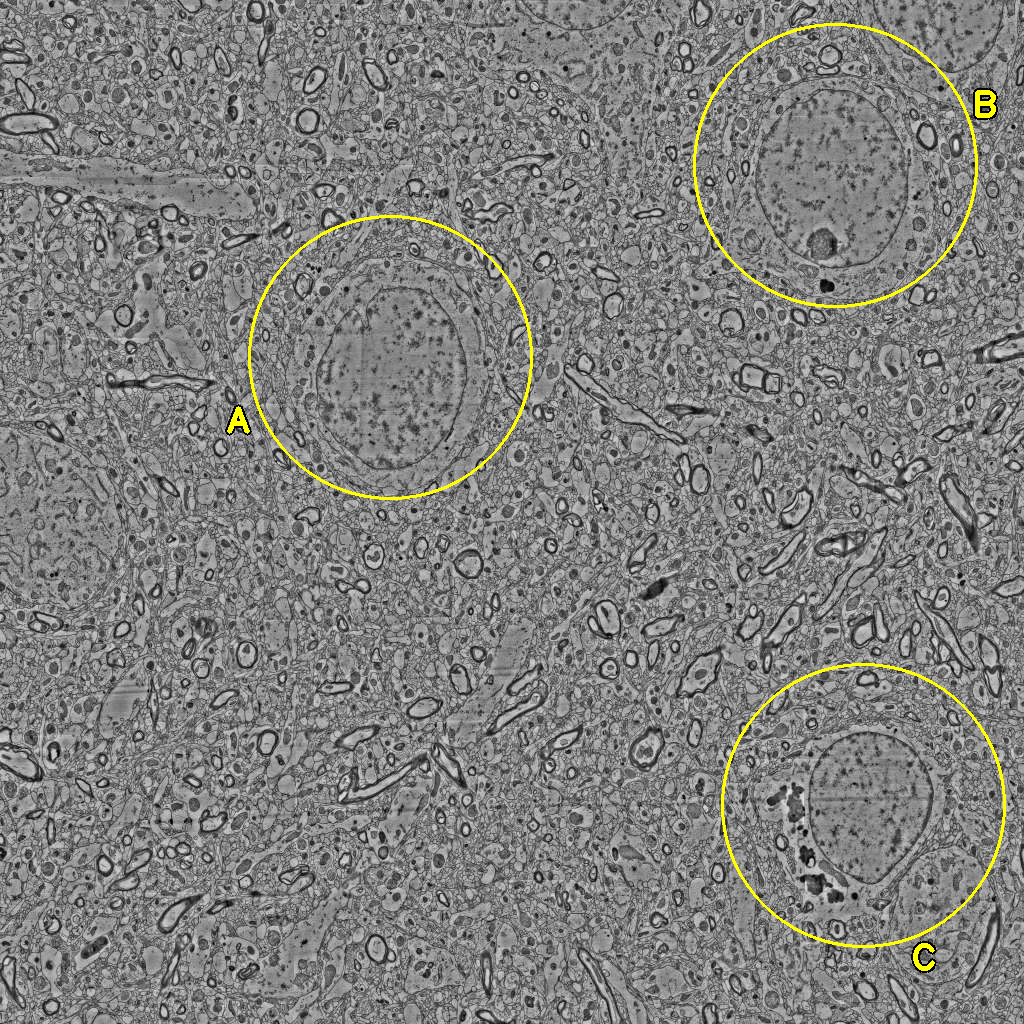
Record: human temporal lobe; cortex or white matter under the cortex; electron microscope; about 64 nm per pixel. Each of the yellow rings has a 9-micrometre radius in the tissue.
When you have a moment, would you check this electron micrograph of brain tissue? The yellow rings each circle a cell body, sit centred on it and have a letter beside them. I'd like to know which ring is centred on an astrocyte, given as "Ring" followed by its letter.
Ring C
